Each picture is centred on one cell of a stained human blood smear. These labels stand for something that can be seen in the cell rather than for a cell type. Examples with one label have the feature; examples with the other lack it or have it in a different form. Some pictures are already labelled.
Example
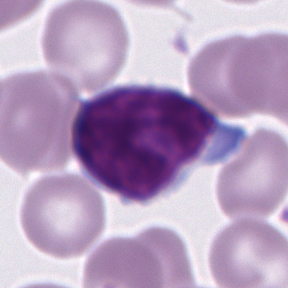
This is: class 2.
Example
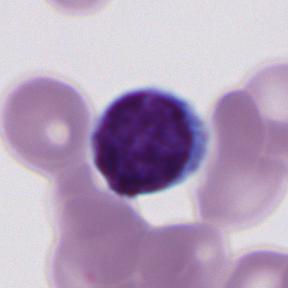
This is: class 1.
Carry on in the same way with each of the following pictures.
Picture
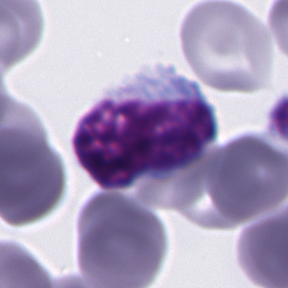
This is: class 2.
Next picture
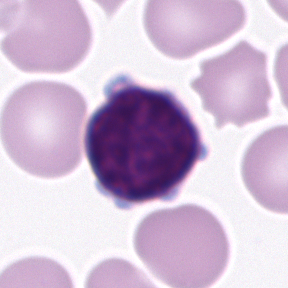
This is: class 2.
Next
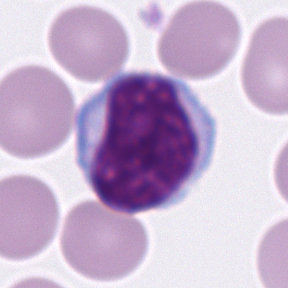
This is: class 2.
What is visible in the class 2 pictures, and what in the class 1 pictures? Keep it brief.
Seen in class 2: ragged outline or projections; seen in class 1: smooth outline.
